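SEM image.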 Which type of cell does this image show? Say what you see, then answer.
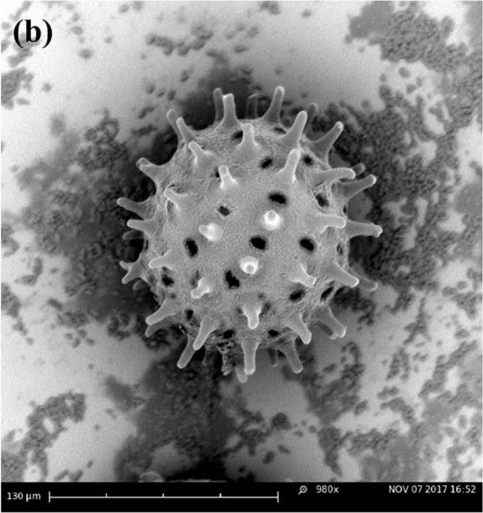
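Pollen grains. A single spherical grain covered with many conical spines. Round pores scattered over the surface between the spines.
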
